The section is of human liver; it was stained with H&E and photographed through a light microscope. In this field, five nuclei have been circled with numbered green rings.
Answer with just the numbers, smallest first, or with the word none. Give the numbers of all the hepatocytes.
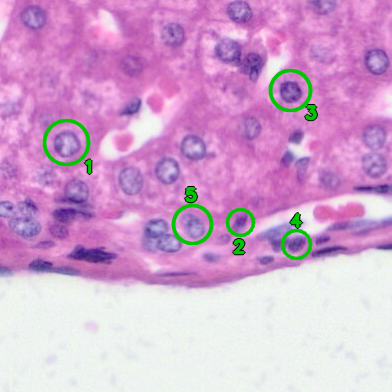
1, 3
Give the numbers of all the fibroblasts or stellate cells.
2, 4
